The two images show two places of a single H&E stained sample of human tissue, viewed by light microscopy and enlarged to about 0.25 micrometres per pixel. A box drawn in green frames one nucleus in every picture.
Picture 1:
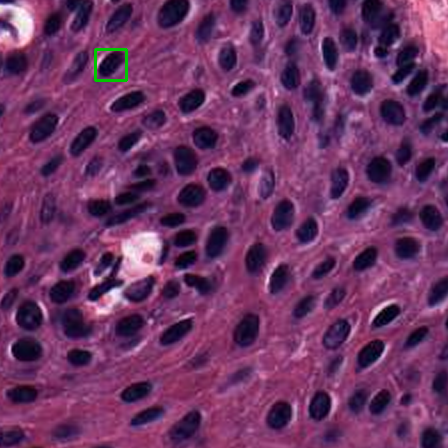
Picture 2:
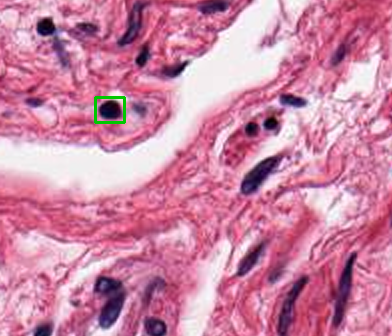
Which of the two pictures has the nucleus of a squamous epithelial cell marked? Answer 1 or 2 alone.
1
